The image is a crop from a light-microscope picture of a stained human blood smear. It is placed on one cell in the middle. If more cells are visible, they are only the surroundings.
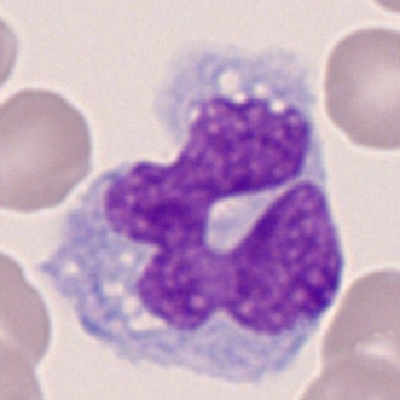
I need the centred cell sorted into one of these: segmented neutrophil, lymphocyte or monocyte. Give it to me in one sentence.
The centered cell in this crop is a monocyte.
